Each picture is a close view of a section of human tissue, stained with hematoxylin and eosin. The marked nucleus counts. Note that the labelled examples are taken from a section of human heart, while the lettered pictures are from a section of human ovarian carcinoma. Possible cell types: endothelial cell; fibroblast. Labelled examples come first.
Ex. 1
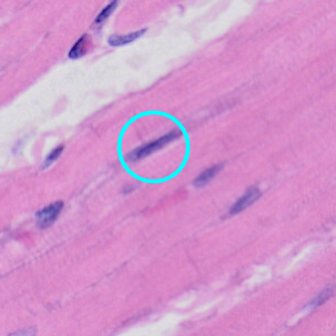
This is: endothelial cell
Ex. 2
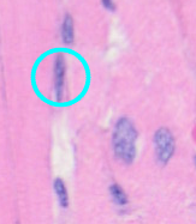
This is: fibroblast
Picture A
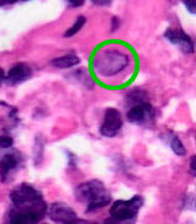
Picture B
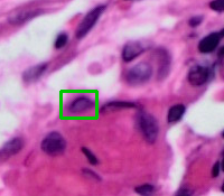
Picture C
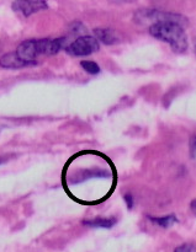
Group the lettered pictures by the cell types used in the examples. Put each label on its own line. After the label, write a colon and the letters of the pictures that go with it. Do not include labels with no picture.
endothelial cell: A
fibroblast: B, C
